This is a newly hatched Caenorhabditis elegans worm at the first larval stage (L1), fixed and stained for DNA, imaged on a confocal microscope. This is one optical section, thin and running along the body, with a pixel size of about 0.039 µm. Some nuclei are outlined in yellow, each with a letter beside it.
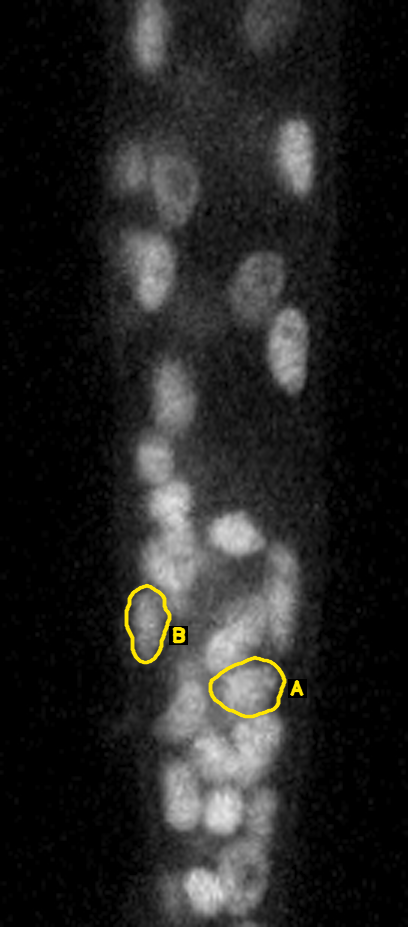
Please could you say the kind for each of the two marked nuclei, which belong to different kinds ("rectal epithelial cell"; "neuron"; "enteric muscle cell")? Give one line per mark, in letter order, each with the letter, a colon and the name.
A: neuron
B: rectal epithelial cell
